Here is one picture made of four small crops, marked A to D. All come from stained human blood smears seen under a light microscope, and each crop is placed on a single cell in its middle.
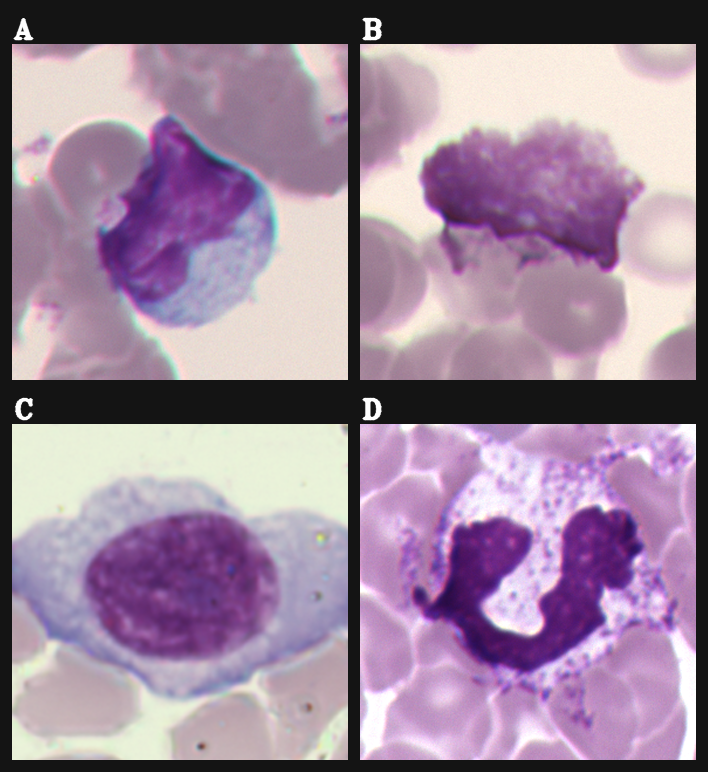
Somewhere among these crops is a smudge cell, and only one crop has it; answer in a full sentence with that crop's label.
It is crop B, not any other, that shows a smudge cell.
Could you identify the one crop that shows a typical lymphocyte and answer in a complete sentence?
Crop A is the one depicting a typical lymphocyte.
